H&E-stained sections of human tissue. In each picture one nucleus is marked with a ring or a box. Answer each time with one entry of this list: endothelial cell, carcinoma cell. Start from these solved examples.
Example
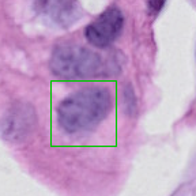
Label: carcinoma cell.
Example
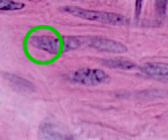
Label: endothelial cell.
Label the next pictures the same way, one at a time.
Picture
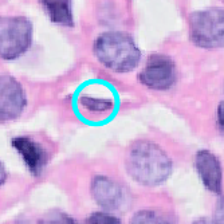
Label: endothelial cell.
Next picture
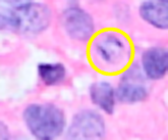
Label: endothelial cell.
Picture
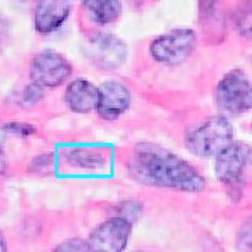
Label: endothelial cell.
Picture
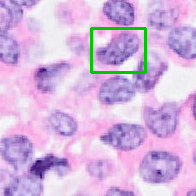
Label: carcinoma cell.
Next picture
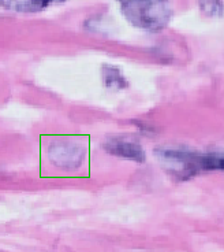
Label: endothelial cell.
